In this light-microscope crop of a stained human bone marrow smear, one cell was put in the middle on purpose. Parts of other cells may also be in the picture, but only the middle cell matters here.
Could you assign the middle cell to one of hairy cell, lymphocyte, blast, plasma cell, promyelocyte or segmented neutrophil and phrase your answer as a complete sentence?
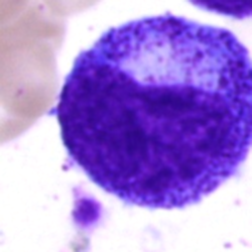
The cell at the middle of the crop is recognized as a promyelocyte.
